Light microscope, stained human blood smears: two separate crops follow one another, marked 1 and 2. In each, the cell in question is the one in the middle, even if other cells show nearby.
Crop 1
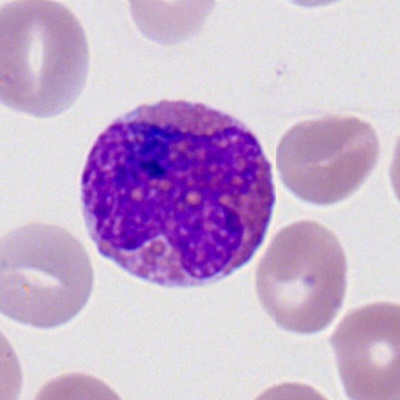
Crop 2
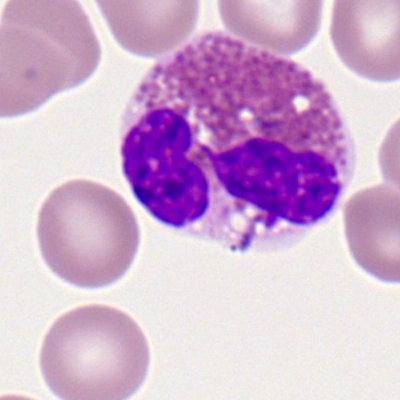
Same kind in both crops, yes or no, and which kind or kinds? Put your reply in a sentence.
Yes, the two crops show eosinophils, one cell each.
